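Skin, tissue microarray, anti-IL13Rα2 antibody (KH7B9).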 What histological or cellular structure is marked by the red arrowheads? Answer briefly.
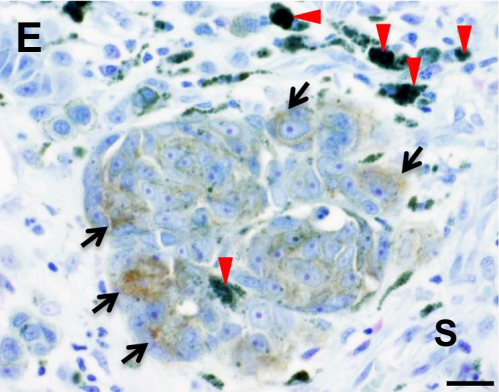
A: melanin pigment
